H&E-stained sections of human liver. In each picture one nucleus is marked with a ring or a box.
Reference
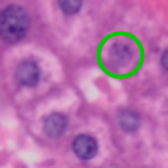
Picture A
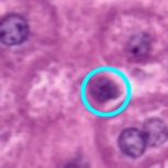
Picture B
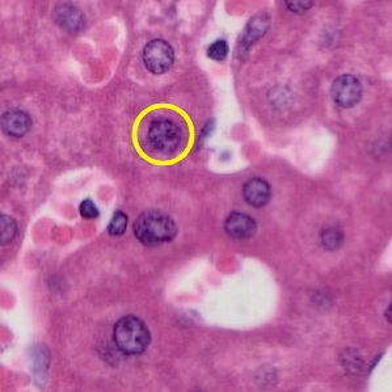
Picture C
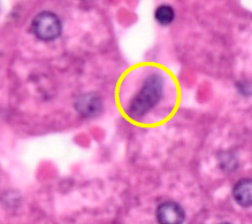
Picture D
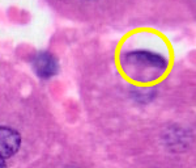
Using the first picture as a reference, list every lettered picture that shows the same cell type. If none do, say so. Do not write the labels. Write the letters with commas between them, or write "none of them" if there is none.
B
